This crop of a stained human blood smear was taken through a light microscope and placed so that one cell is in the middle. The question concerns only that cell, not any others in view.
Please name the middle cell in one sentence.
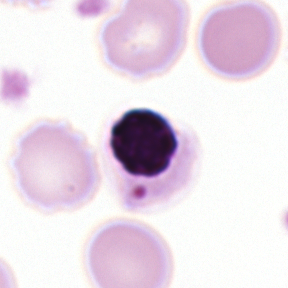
Present in the middle of the crop is a normoblast.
